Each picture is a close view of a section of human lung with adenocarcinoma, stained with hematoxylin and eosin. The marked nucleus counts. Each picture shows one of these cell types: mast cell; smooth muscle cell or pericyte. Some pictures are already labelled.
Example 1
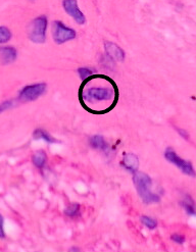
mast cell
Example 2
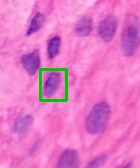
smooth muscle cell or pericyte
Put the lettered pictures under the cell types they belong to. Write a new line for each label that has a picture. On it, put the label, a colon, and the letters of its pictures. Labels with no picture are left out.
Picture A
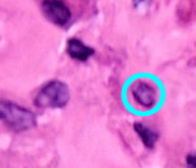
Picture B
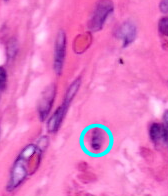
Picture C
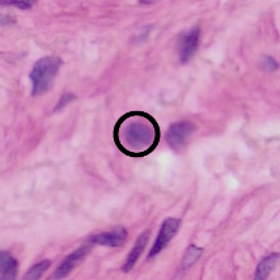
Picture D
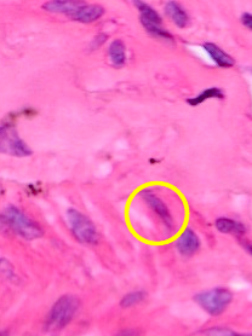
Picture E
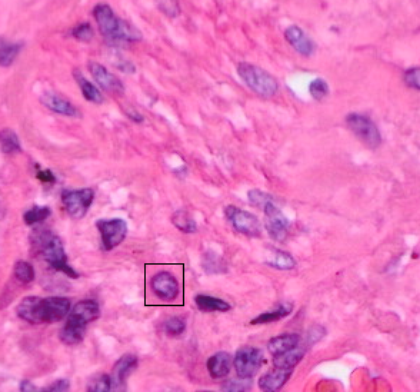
mast cell: A, B, E
smooth muscle cell or pericyte: C, D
